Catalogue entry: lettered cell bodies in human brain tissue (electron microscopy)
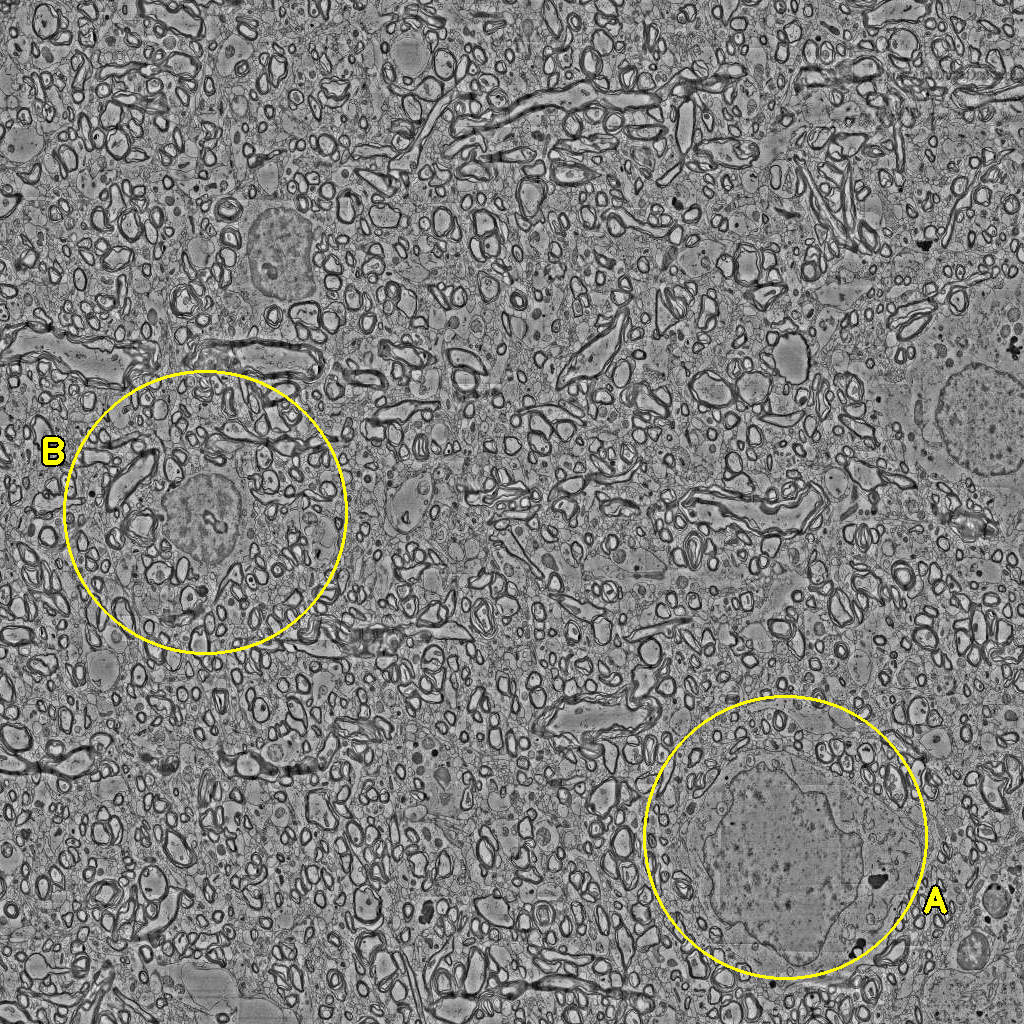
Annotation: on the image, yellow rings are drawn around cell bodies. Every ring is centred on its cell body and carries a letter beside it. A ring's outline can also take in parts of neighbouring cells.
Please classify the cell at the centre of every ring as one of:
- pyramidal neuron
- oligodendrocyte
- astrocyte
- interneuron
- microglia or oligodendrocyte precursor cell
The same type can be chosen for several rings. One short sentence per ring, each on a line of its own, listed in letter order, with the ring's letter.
Ring A is classified as a pyramidal neuron.
Ring B is classified as an oligodendrocyte.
